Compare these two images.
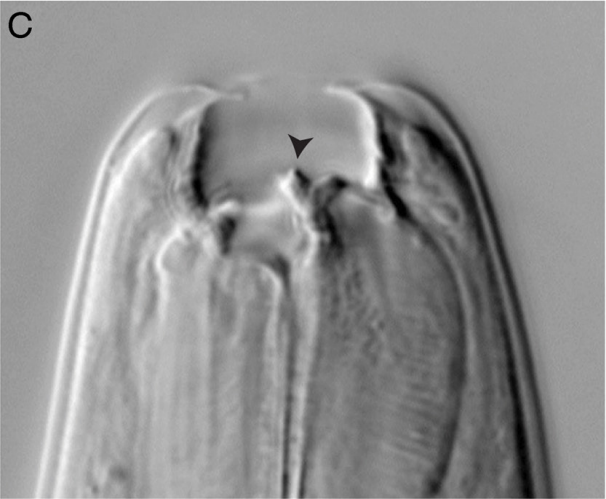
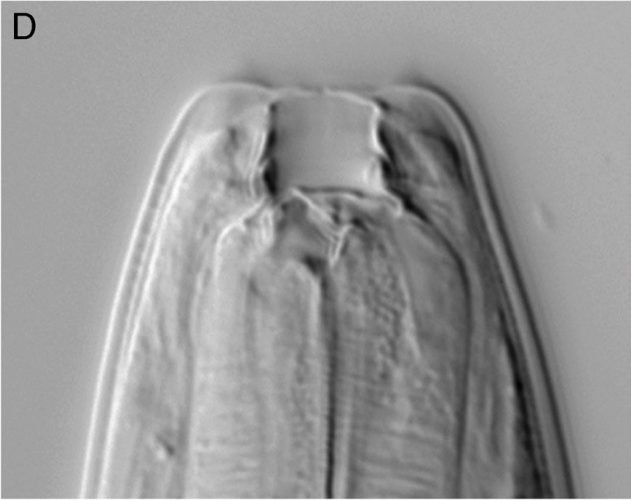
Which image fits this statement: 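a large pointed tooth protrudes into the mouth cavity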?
The first image.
